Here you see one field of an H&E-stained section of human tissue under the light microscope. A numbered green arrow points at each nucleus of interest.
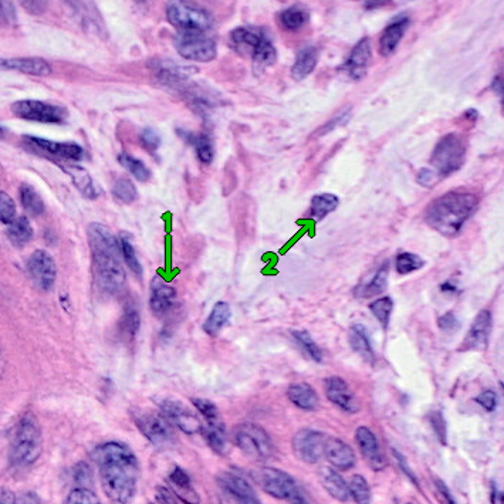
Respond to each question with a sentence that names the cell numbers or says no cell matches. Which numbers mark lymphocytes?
Only the cell carrying number 2 is a lymphocyte.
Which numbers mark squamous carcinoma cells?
None of the numbered cells is one of the squamous carcinoma cells.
